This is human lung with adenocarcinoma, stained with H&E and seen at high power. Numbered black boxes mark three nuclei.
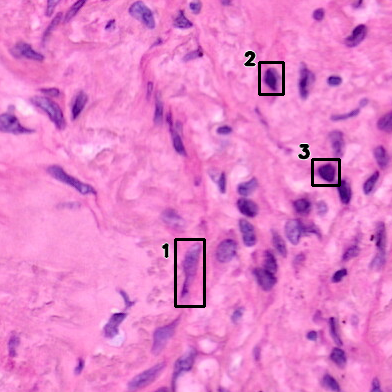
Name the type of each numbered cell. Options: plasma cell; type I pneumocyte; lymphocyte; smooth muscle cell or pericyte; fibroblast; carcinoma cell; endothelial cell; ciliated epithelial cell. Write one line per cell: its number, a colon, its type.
1: smooth muscle cell or pericyte
2: plasma cell
3: plasma cell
